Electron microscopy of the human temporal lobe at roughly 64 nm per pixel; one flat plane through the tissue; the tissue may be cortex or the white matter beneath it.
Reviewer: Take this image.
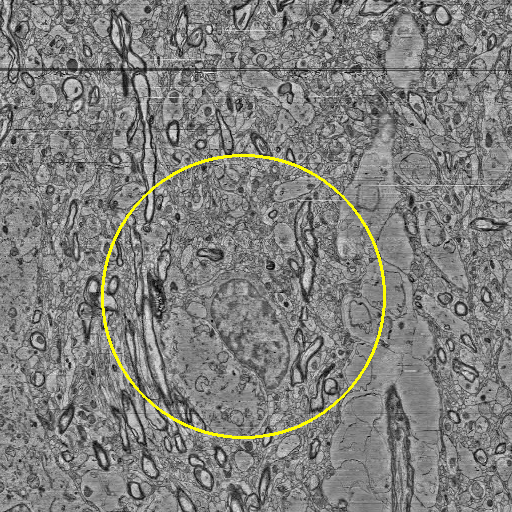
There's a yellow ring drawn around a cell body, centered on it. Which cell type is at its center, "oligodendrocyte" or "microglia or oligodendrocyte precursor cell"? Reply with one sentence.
At the center of the yellow ring is an oligodendrocyte.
